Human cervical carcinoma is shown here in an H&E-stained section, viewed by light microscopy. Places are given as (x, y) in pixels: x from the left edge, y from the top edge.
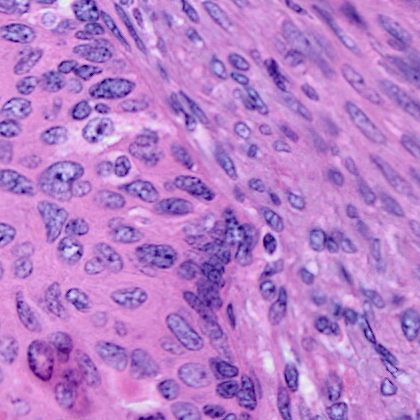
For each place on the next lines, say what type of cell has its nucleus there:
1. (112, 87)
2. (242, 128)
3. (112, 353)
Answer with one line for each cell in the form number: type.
1: squamous carcinoma cell
2: smooth muscle cell
3: squamous carcinoma cell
